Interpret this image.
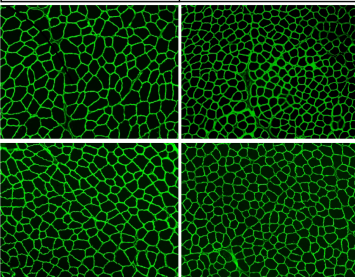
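Cross-sections of skeletal muscle in which each myofiber is outlined by a thin green line, giving a mesh of tightly packed polygonal fiber profiles with dark interiors. The fibers in the right-hand images are smaller and more numerous per field than those in the left-hand images, and in the upper right image they are smallest.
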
